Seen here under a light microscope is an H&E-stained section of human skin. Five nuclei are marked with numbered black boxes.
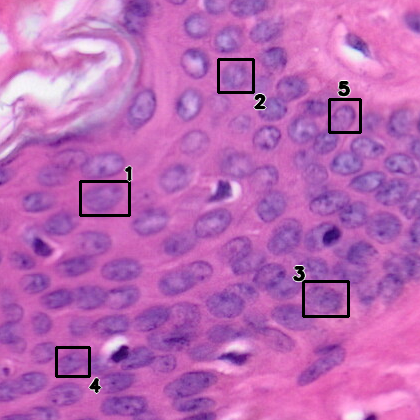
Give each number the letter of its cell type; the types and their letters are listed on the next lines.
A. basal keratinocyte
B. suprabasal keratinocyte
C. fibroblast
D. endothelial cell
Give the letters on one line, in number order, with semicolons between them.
B; B; A; B; A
